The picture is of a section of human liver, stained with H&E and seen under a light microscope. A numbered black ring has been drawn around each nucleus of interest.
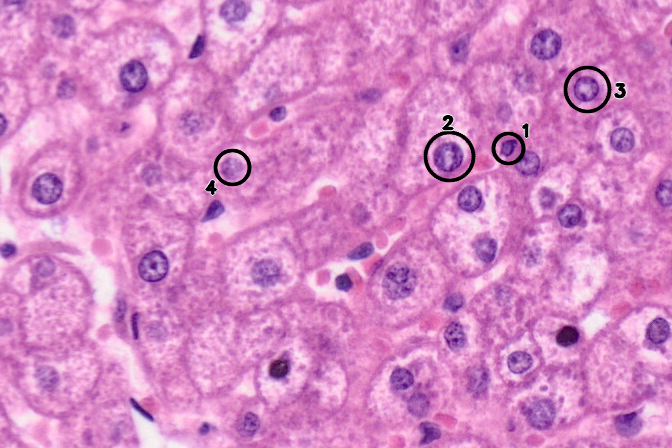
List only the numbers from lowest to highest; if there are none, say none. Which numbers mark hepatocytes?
2, 3, 4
